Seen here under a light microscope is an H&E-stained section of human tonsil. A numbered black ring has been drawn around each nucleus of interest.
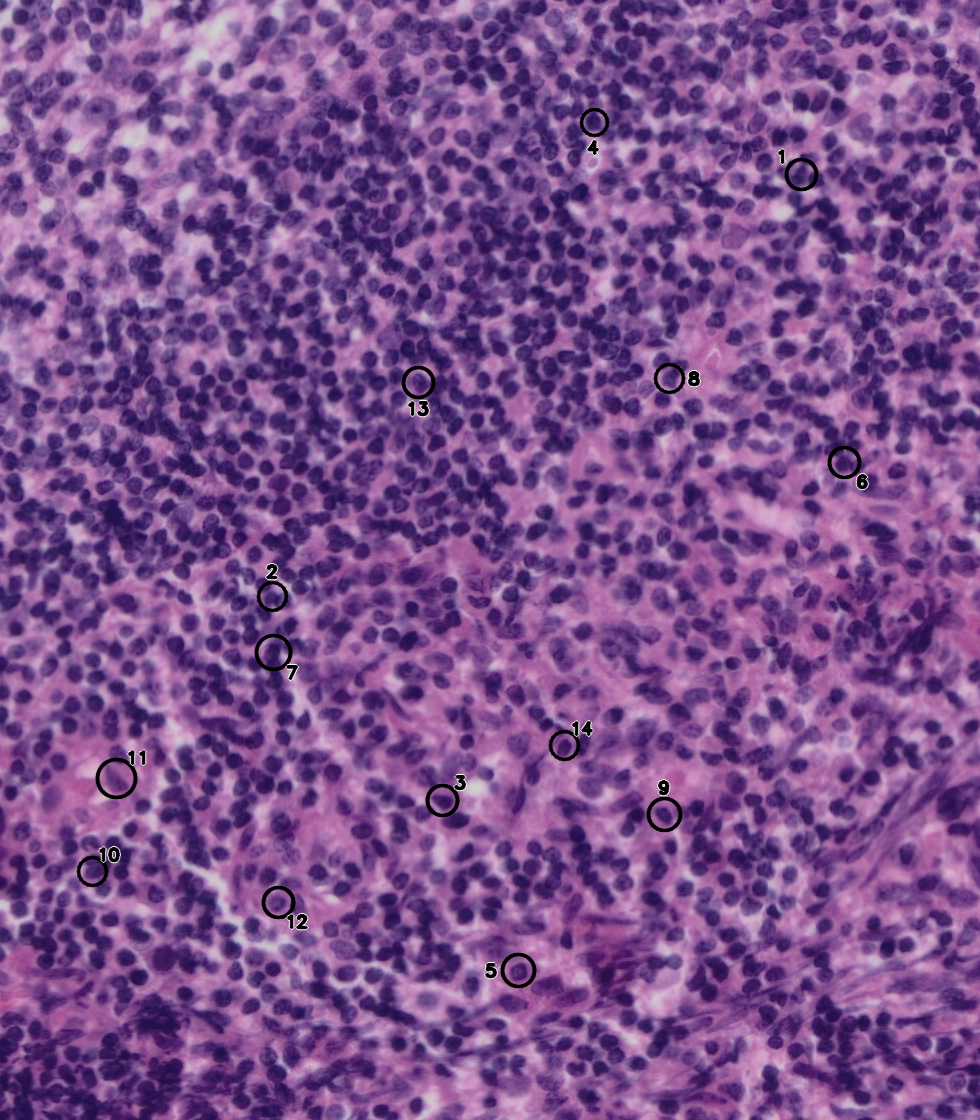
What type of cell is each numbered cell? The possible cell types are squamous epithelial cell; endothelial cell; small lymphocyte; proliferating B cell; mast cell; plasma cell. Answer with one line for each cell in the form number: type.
1: small lymphocyte
2: small lymphocyte
3: plasma cell
4: small lymphocyte
5: plasma cell
6: small lymphocyte
7: small lymphocyte
8: small lymphocyte
9: plasma cell
10: small lymphocyte
11: endothelial cell
12: plasma cell
13: small lymphocyte
14: plasma cell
